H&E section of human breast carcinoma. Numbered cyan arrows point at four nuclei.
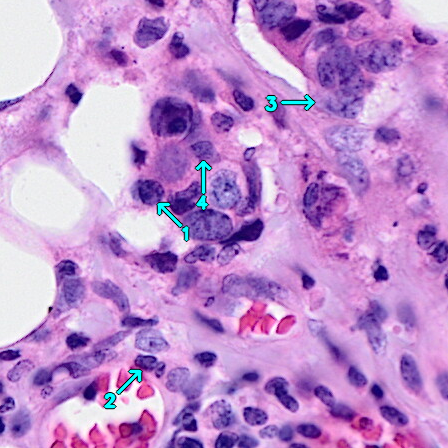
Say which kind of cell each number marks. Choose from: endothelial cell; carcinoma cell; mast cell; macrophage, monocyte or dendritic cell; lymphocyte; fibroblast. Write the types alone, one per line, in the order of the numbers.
carcinoma cell
endothelial cell
carcinoma cell
carcinoma cell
